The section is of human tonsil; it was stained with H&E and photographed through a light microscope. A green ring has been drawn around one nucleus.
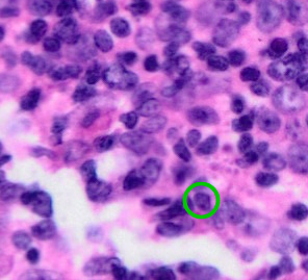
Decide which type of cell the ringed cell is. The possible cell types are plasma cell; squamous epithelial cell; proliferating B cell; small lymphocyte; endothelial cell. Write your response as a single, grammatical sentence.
In the tissue under study, the ringed cell is a proliferating B cell.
